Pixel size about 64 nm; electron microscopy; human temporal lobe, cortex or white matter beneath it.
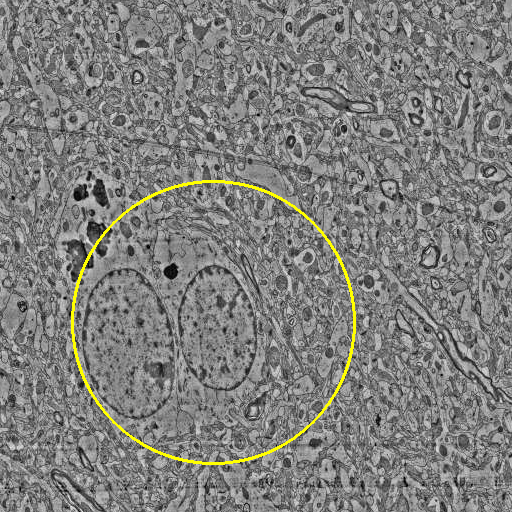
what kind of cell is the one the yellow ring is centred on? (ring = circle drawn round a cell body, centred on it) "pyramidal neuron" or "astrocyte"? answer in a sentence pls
The ring is drawn around an astrocyte.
